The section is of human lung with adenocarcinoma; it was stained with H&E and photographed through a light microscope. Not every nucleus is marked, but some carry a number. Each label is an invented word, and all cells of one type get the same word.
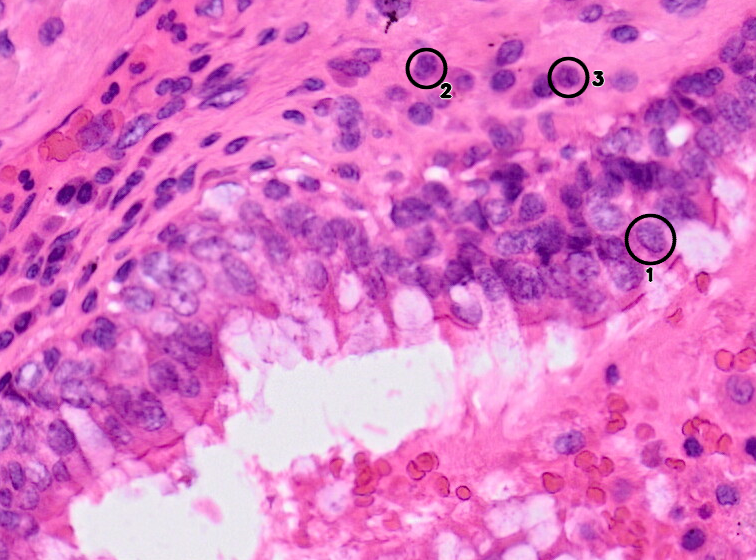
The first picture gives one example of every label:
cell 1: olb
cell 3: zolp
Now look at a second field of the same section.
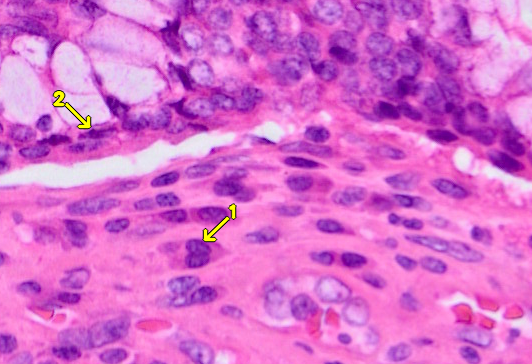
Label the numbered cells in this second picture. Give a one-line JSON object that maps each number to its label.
{"1": "zolp", "2": "olb"}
